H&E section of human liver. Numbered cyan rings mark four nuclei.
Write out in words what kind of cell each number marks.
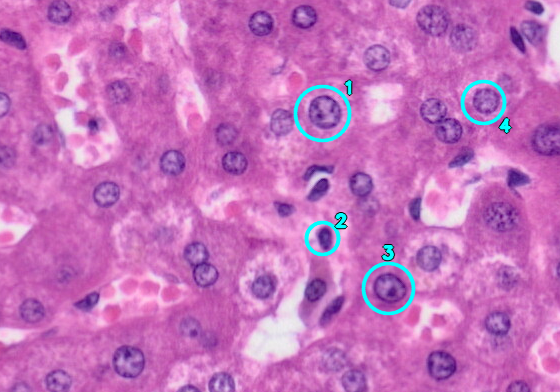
Cell 1 is a hepatocyte, cell 2 is a lymphocyte, cell 3 is a hepatocyte and cell 4 is a hepatocyte.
